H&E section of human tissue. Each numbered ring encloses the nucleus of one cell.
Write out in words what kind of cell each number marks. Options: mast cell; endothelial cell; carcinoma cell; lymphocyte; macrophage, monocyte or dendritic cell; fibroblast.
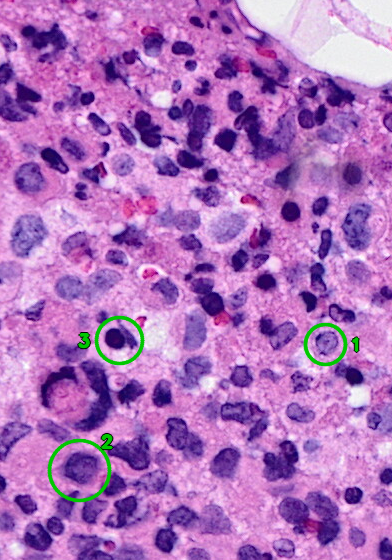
Cell 1 is a macrophage, monocyte or dendritic cell. Cells 2 and 3 are carcinoma cells.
